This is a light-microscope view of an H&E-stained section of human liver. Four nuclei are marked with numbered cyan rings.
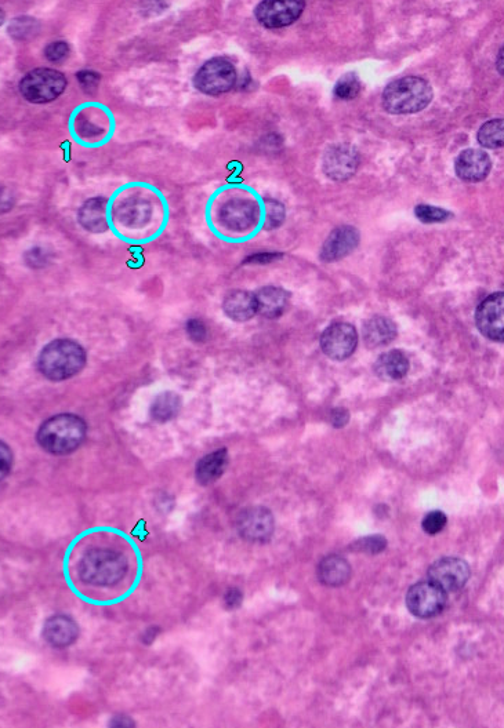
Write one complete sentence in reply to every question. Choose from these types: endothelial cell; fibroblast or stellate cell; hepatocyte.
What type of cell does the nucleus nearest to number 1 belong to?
The nearest nucleus to number 1 belongs to a fibroblast or stellate cell.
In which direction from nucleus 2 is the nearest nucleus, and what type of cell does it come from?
The nearest one is a hepatocyte, found to the right of nucleus 2.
